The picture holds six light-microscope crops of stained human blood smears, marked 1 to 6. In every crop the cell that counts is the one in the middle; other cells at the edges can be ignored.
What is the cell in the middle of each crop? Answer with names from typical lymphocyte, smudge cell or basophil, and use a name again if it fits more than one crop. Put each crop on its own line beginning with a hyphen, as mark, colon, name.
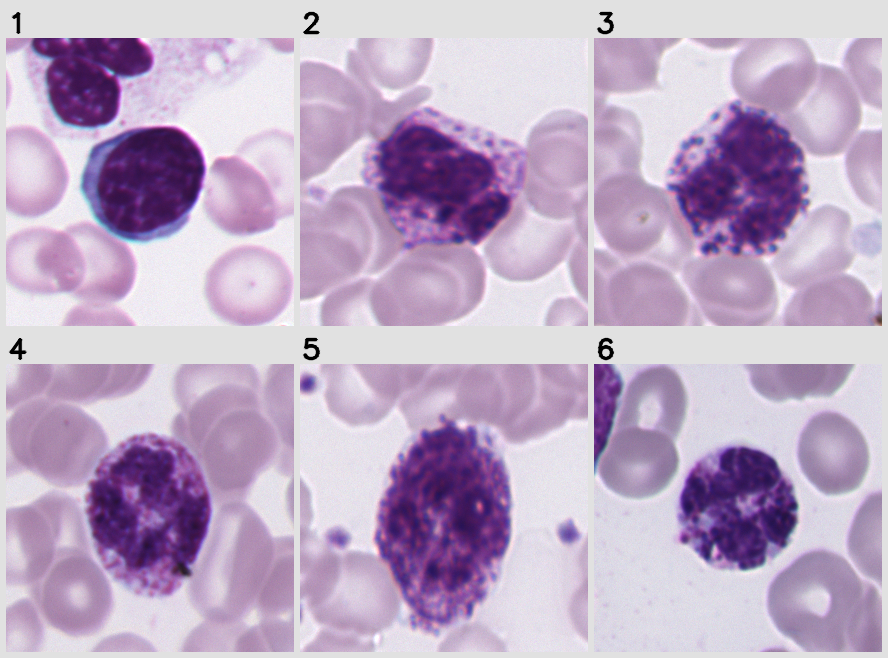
- 1: typical lymphocyte
- 2: basophil
- 3: basophil
- 4: basophil
- 5: basophil
- 6: basophil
